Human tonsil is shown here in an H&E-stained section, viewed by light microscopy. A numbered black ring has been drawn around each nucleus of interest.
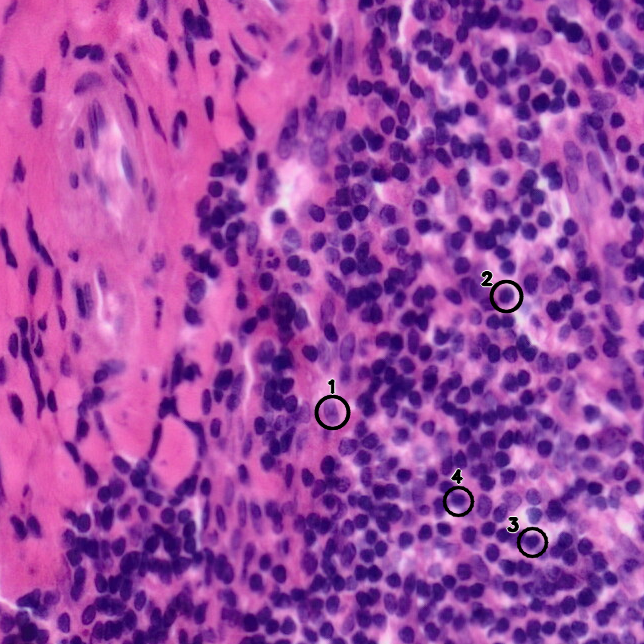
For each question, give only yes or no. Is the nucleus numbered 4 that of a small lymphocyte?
yes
